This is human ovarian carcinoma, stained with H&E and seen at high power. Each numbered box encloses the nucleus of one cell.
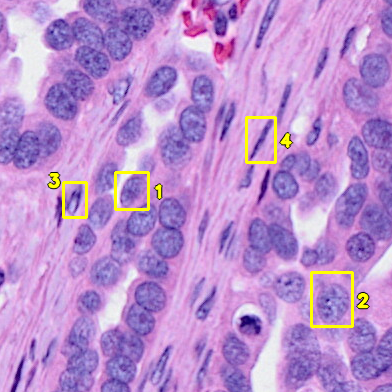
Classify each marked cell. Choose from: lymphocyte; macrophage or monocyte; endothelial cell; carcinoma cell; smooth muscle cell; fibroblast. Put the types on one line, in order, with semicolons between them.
carcinoma cell; carcinoma cell; fibroblast; fibroblast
